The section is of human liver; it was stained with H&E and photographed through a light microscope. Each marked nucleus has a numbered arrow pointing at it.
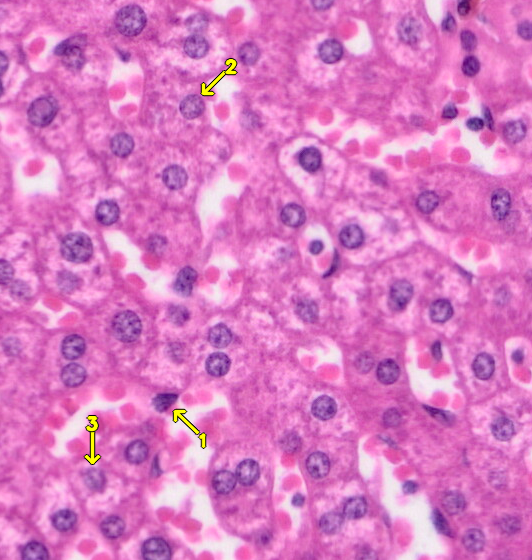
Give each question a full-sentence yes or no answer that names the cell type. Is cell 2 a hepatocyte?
Yes, the cell that bears the number 2 is a hepatocyte.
